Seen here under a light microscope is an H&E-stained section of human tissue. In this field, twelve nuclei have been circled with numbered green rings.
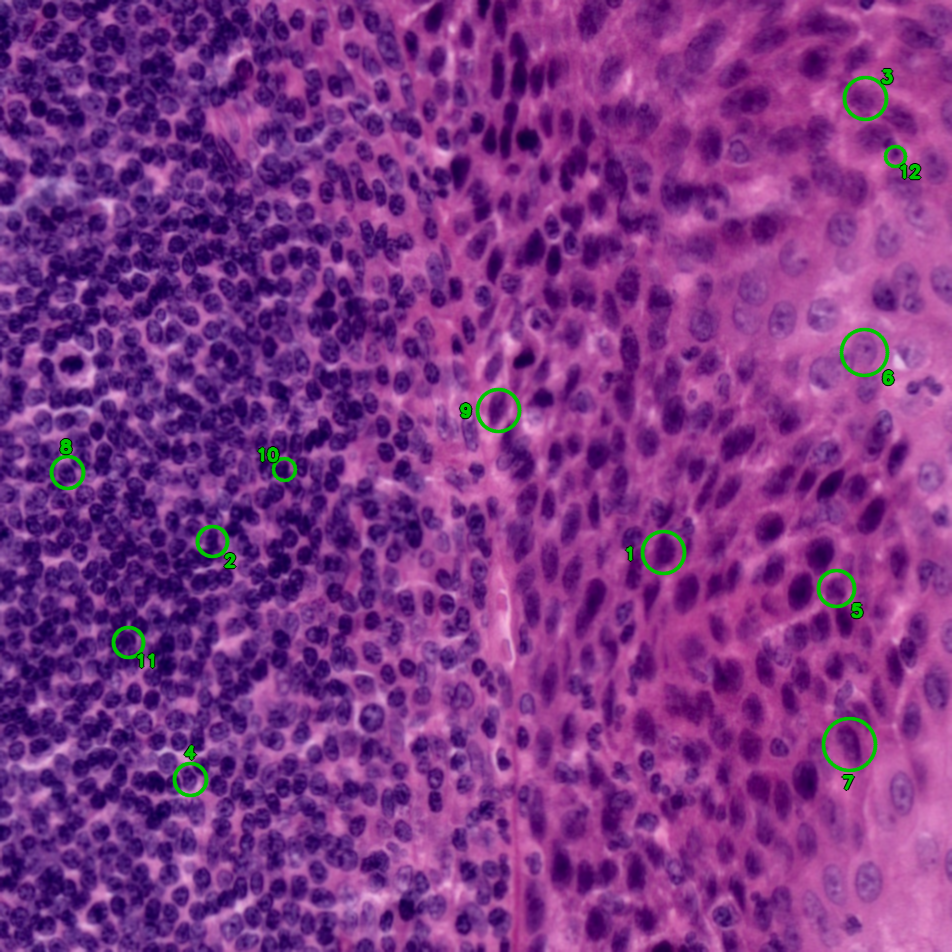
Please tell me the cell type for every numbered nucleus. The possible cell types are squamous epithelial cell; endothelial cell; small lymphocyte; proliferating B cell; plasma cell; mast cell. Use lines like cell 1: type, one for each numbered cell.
cell 1: squamous epithelial cell
cell 2: small lymphocyte
cell 3: squamous epithelial cell
cell 4: small lymphocyte
cell 5: squamous epithelial cell
cell 6: squamous epithelial cell
cell 7: squamous epithelial cell
cell 8: small lymphocyte
cell 9: squamous epithelial cell
cell 10: small lymphocyte
cell 11: small lymphocyte
cell 12: squamous epithelial cell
